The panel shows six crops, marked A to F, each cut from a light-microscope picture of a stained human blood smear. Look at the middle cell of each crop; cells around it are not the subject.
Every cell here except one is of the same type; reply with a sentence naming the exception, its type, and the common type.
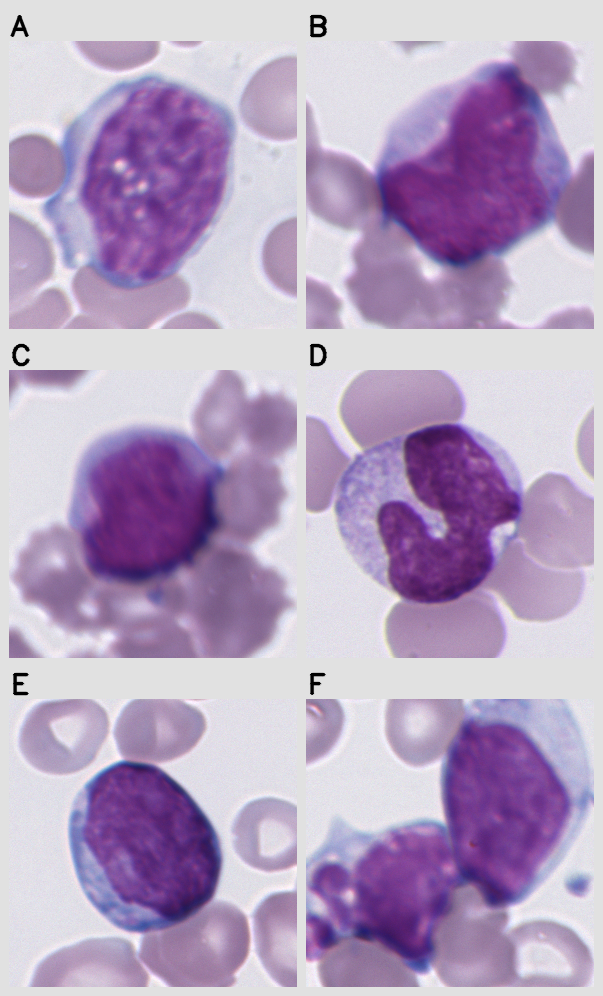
Crop D differs from the others in showing a monocyte; the rest all show blasts.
